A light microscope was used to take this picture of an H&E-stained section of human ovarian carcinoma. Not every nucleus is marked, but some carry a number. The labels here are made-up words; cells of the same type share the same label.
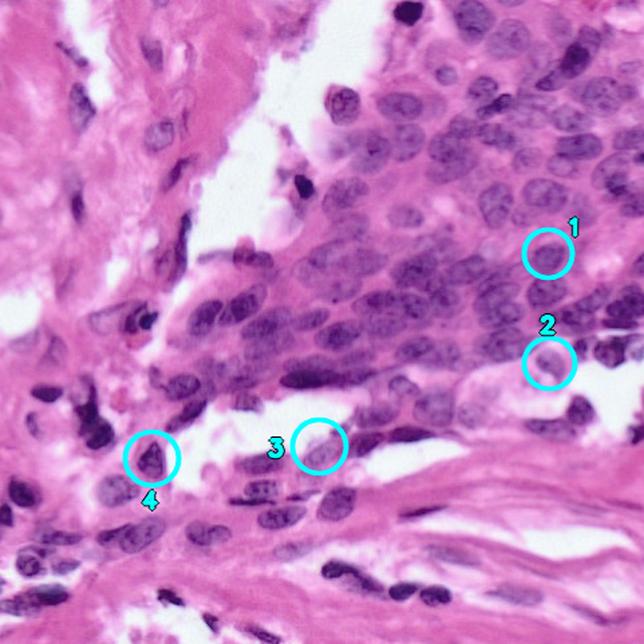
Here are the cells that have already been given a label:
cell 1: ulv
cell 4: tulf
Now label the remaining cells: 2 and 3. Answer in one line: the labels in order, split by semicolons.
tulf; ulv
